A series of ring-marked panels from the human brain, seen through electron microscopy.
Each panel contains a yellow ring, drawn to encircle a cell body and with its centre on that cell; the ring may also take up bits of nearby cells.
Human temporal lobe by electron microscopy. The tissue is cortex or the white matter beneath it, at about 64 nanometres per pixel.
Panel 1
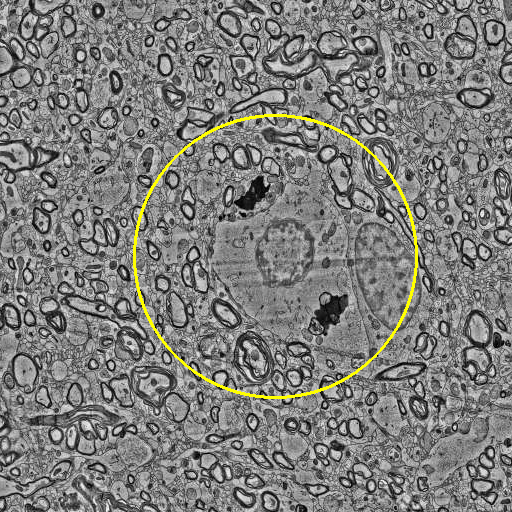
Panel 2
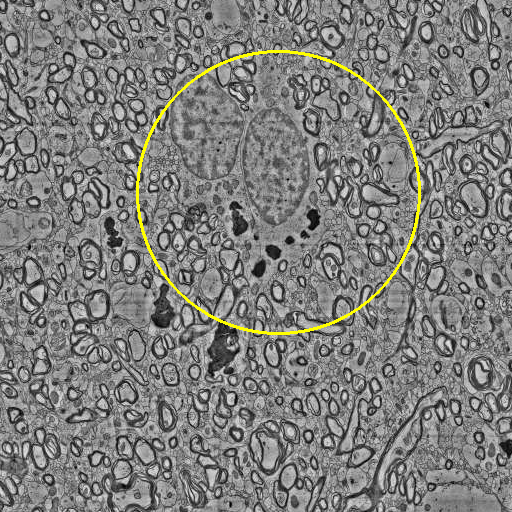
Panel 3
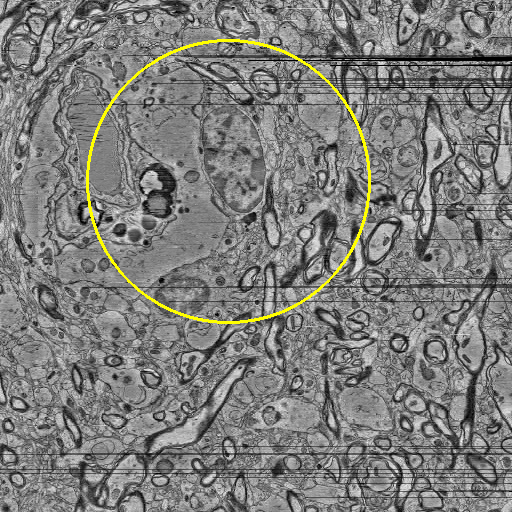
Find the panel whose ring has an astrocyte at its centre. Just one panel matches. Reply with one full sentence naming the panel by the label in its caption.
The sought cell lies at the centre of the ring shown in Panel 1.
